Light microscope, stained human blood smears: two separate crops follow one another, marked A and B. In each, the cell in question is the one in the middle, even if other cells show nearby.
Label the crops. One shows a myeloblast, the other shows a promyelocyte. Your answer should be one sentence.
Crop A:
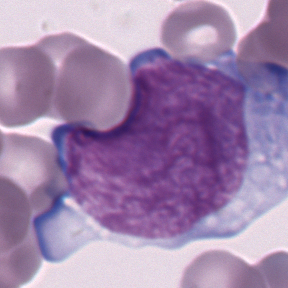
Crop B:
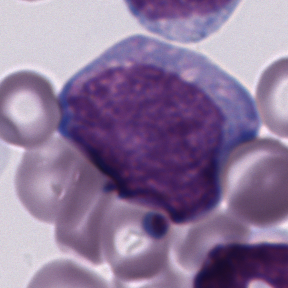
Crop A holds a myeloblast; crop B holds a promyelocyte.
